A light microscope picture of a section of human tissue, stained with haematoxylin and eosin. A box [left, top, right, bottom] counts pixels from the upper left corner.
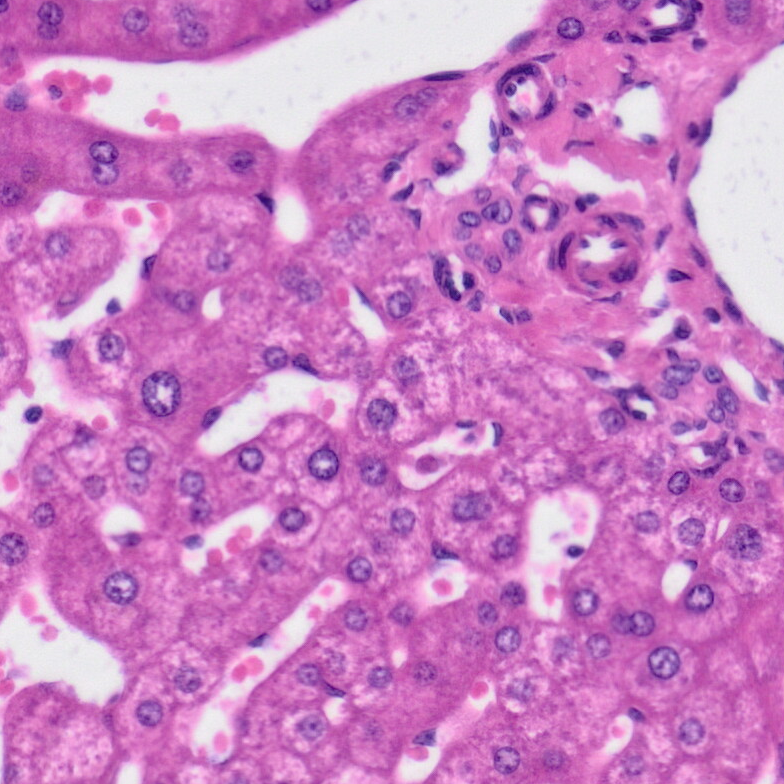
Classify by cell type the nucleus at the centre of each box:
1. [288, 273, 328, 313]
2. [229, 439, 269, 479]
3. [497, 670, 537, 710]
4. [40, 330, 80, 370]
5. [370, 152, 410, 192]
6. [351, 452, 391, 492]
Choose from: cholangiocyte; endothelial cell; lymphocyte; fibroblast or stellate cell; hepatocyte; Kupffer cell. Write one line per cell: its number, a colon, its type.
1: hepatocyte
2: hepatocyte
3: hepatocyte
4: endothelial cell
5: fibroblast or stellate cell
6: hepatocyte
